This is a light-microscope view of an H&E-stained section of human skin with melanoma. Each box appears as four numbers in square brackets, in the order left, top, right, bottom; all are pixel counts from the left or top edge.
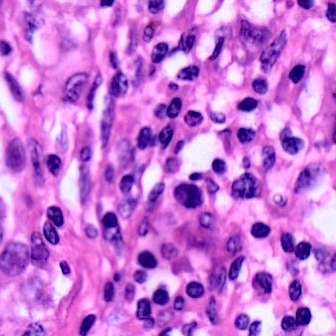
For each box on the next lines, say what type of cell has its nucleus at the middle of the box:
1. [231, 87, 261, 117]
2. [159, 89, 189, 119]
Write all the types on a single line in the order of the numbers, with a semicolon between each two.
lymphocyte; plasma cell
